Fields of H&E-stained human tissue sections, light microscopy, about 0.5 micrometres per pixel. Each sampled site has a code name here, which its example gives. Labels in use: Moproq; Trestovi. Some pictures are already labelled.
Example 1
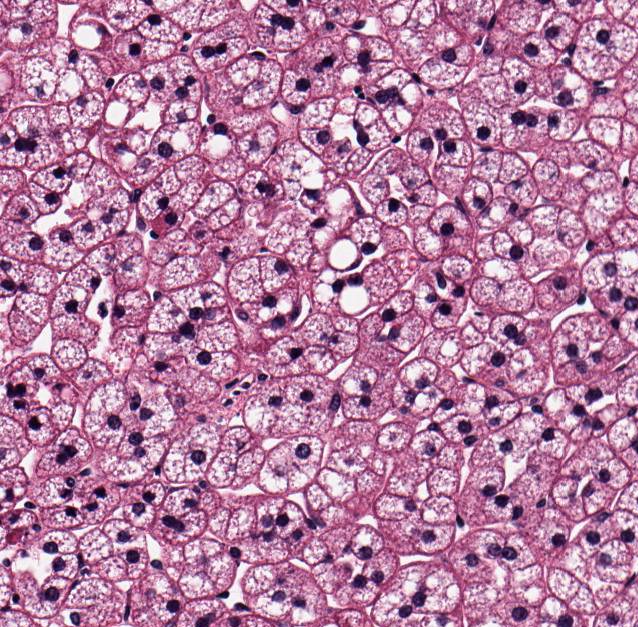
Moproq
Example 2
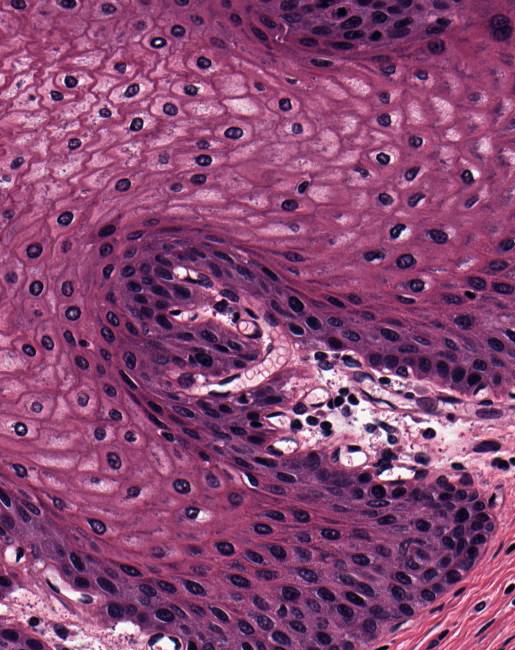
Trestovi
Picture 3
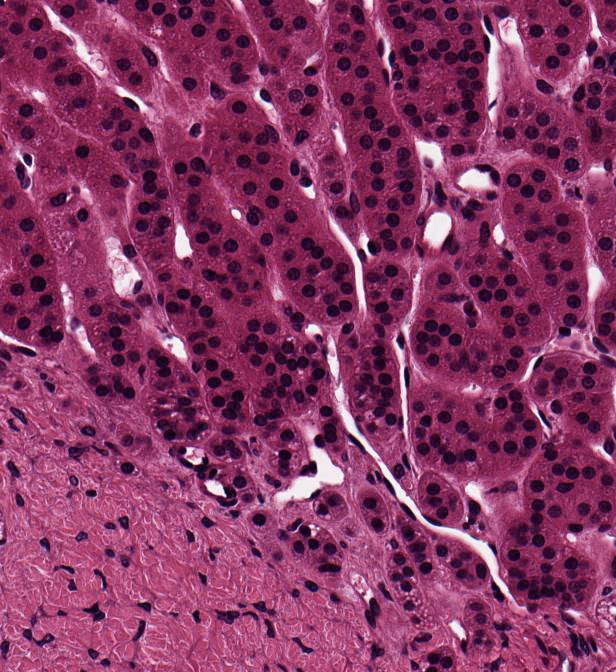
Moproq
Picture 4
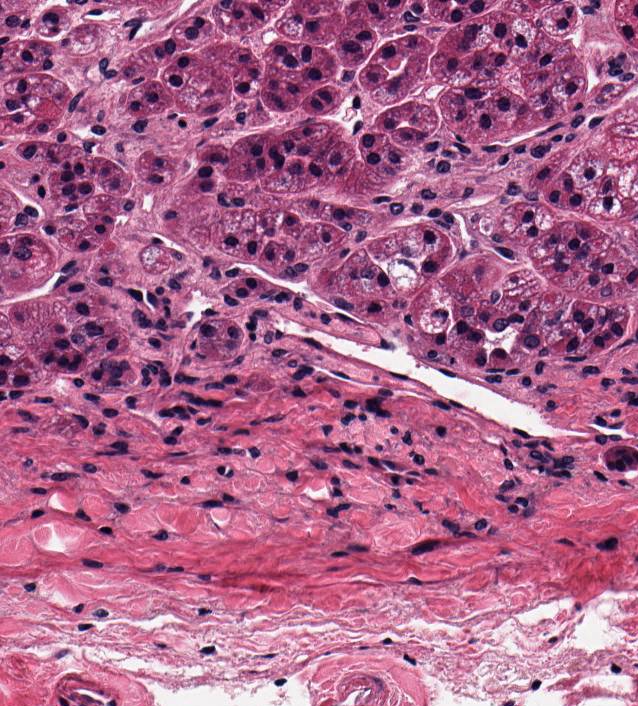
Moproq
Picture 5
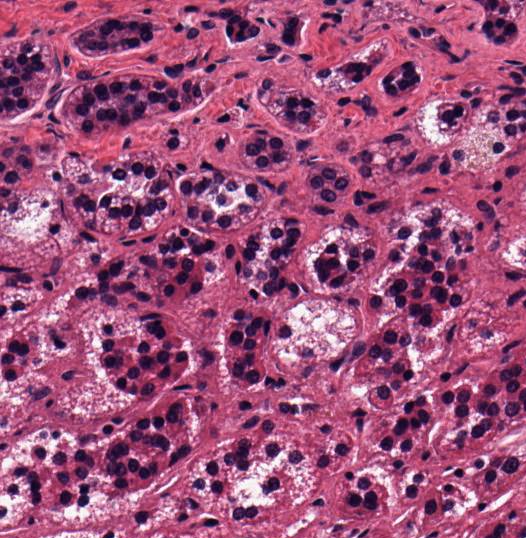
Moproq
